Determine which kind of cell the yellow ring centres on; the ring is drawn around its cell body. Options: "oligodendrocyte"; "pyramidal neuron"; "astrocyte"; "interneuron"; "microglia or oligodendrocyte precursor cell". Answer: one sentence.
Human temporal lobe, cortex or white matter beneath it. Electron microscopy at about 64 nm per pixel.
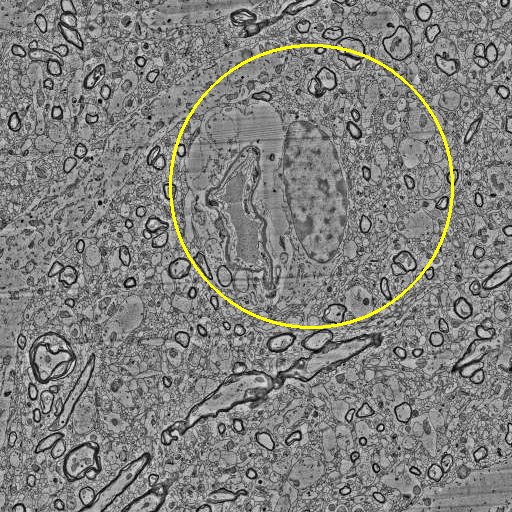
The ring centres on a microglial cell or oligodendrocyte precursor cell.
